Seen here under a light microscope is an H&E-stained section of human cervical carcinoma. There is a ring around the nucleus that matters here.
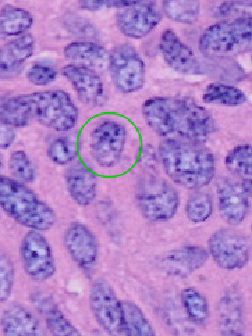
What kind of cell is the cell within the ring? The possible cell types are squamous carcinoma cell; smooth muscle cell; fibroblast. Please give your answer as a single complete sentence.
As a matter of cell type, the cell within the ring is a squamous carcinoma cell.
